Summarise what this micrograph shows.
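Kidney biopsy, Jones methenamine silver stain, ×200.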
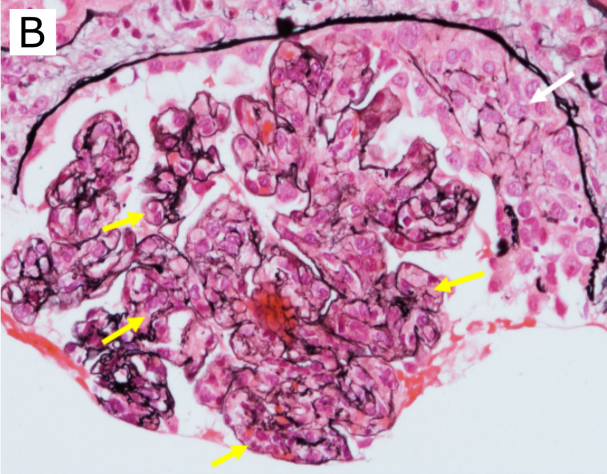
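This silver-stained glomerulus shows capillary loops outlined by black basement membranes and stuffed with cells, so the tuft is globally hypercellular with few open lumens. At the upper right, between the tuft and the black line of Bowman's capsule, lies a cellular crescent: a band of many pale pink cells filling the space outside the loops. The lobules of the tuft are swollen and rounded, and a pale space separates much of the tuft from the capsule.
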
